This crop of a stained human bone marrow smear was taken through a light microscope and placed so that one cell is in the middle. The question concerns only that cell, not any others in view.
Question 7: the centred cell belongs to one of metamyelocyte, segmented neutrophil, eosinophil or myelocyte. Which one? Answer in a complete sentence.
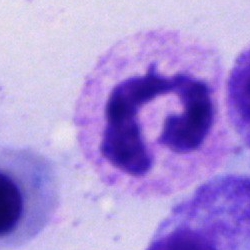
Framed in the middle of the crop is a segmented neutrophil.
